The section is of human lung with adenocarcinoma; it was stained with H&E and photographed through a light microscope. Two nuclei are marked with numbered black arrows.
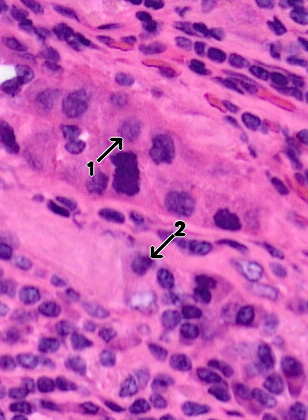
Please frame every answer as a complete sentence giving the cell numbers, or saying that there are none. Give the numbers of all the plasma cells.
Of all the numbered cells, only cell 2 is a plasma cell.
